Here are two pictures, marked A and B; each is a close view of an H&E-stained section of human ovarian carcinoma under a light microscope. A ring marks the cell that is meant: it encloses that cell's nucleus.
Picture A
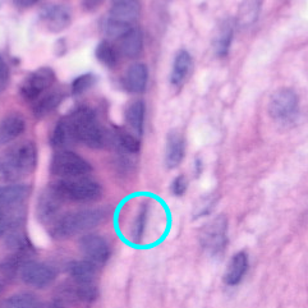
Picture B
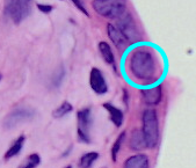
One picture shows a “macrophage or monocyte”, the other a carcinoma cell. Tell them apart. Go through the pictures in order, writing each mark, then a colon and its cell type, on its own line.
A: macrophage or monocyte
B: carcinoma cell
